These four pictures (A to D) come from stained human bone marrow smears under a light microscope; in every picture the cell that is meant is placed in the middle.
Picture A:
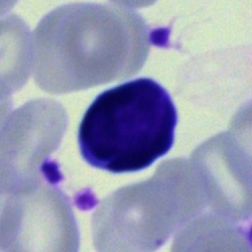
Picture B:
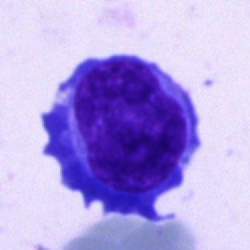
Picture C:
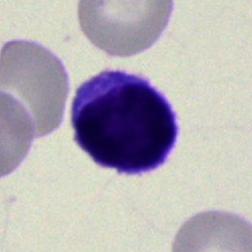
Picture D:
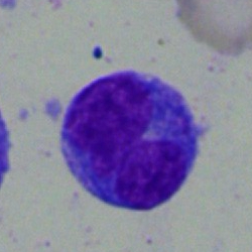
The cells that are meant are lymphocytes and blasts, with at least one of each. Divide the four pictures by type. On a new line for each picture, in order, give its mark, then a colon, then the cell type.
A: lymphocyte
B: blast
C: lymphocyte
D: blast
